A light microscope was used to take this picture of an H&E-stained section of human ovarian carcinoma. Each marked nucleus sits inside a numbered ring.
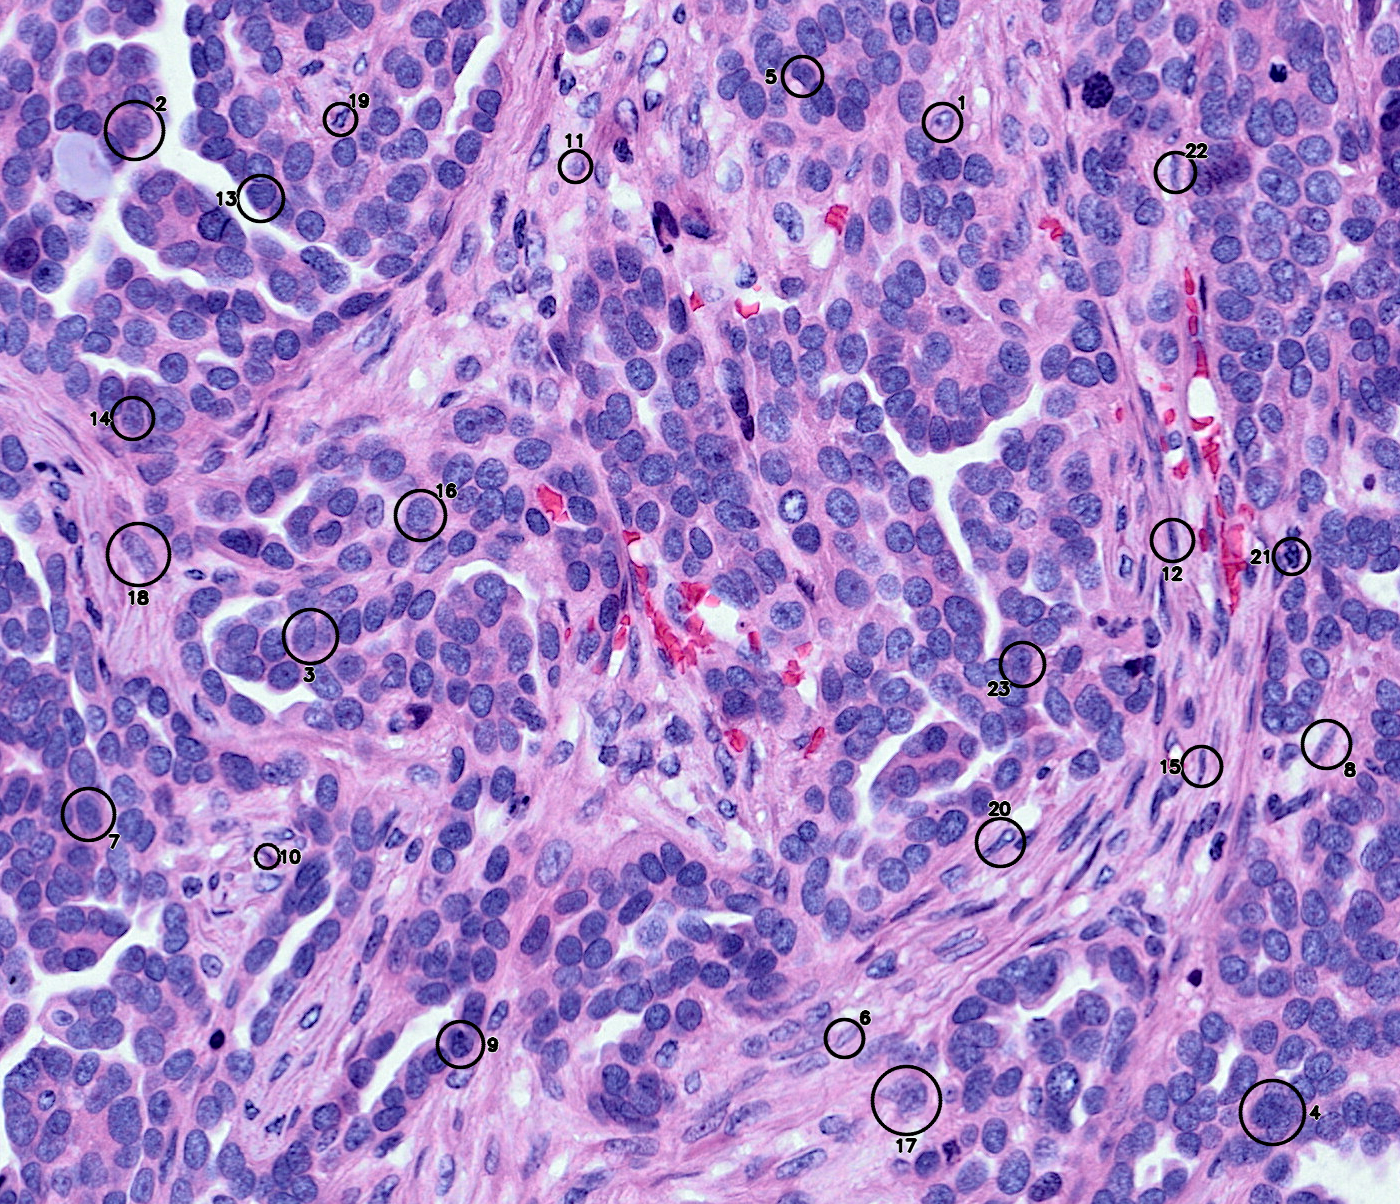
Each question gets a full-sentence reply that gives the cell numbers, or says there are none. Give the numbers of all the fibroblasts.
The cells 1, 6, 8, 10, 11, 12, 15, 17, 18, 19, 20 and 22 in this section are fibroblasts.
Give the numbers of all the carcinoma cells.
Within the section, cells numbered 2, 3, 4, 5, 7, 9, 13, 14, 16 and 23 are carcinoma cells.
